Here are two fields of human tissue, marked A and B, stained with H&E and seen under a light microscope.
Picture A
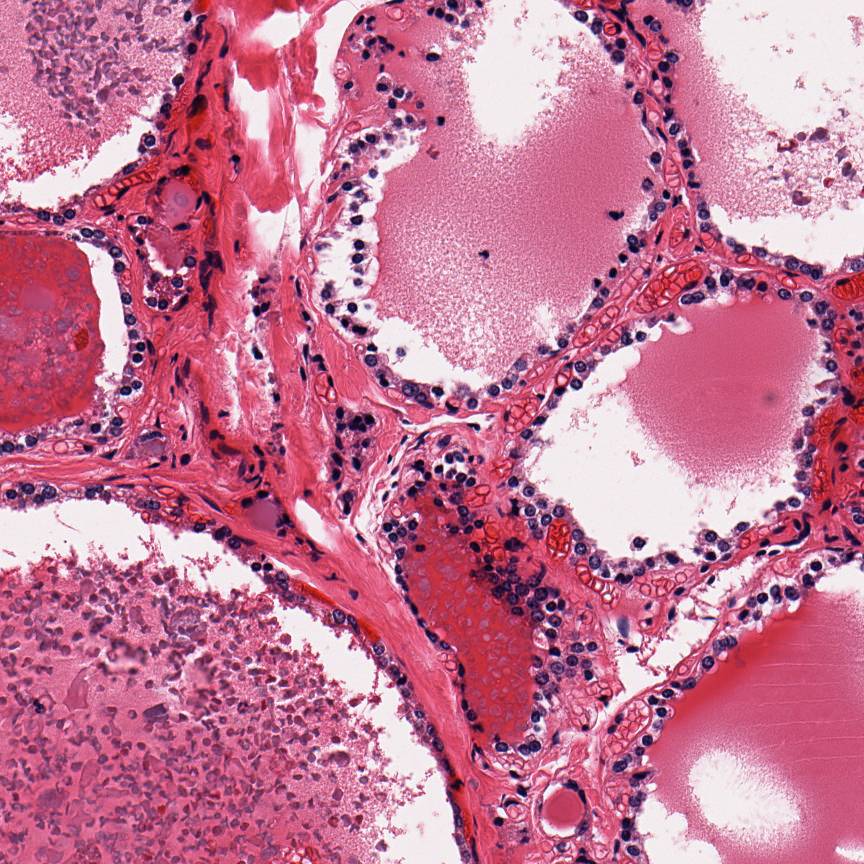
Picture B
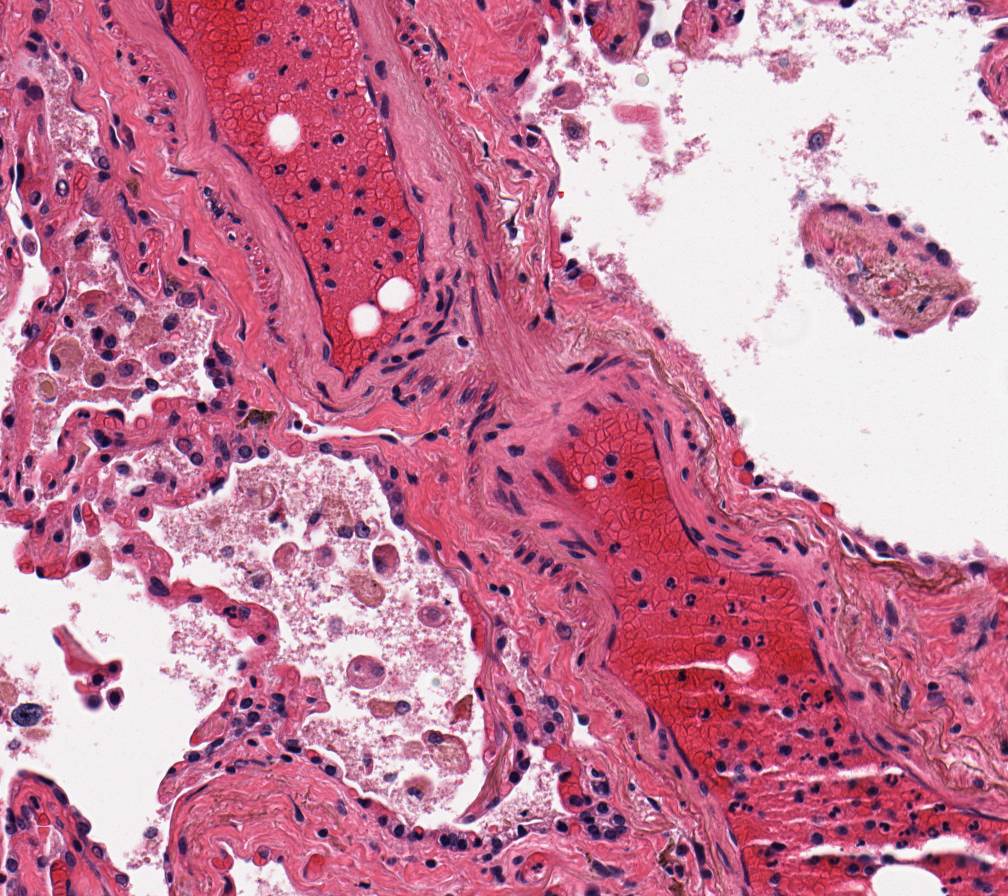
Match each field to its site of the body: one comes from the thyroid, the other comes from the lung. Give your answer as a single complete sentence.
It is picture A that comes from the thyroid, and picture B that comes from the lung.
